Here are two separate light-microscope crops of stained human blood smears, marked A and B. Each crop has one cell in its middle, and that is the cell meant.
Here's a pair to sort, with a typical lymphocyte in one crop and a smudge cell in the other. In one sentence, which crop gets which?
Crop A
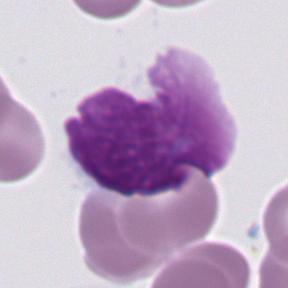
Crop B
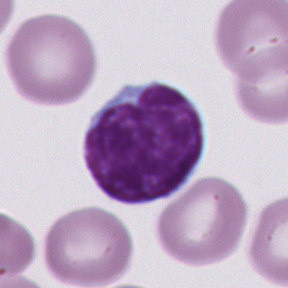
Crop A should be reported as a smudge cell, and crop B as a typical lymphocyte.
